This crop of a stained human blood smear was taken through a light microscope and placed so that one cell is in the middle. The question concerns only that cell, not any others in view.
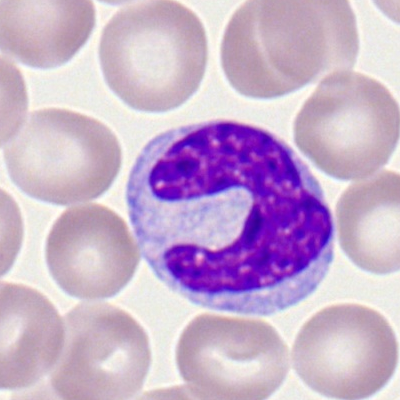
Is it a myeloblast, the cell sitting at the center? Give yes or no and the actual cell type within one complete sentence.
No, it is not a myeloblast that sits at the centre but a monocyte.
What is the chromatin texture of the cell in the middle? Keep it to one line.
Chromatin in the nucleus here is coarsely clumped.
